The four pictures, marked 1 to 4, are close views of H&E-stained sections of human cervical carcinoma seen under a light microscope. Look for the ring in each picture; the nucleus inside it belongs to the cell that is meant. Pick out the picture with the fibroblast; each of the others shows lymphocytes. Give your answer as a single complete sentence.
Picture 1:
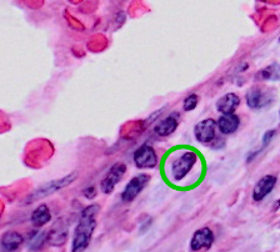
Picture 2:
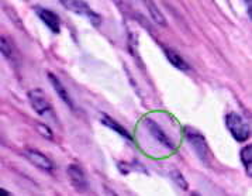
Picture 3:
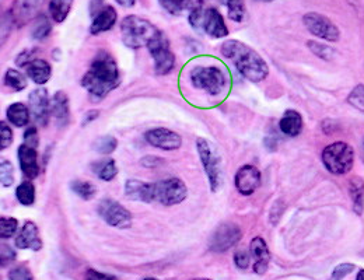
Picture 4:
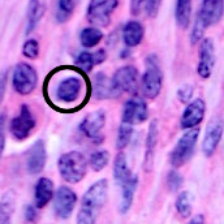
It is picture 2 that shows the fibroblast.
